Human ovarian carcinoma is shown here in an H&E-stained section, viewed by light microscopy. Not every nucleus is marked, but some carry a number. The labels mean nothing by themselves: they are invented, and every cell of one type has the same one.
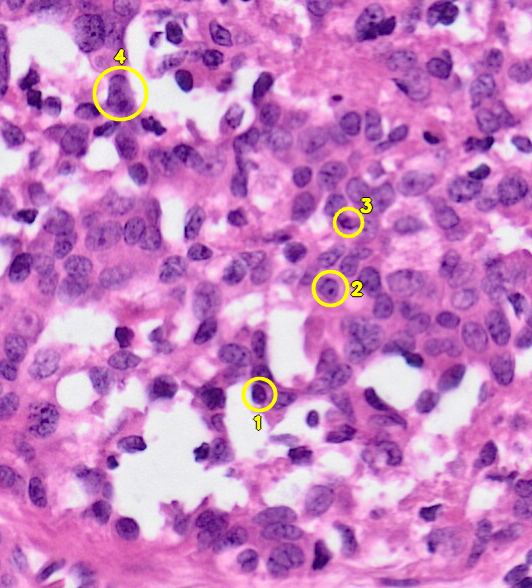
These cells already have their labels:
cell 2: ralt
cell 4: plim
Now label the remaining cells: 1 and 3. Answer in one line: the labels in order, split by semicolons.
plim; plim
